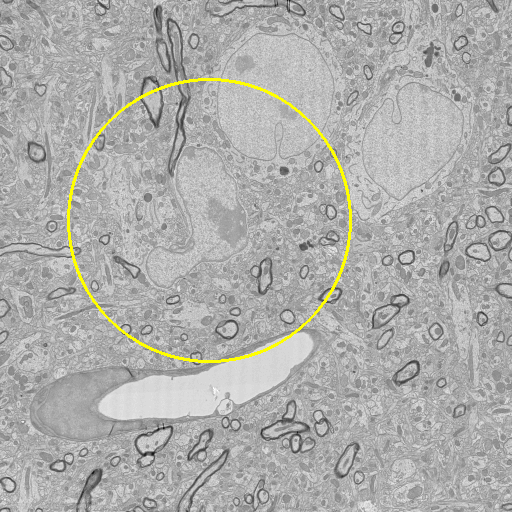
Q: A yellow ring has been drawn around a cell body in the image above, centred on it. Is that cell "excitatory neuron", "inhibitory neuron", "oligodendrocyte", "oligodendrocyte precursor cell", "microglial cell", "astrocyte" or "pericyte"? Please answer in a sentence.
The ring surrounds the cell body of an oligodendrocyte precursor cell.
